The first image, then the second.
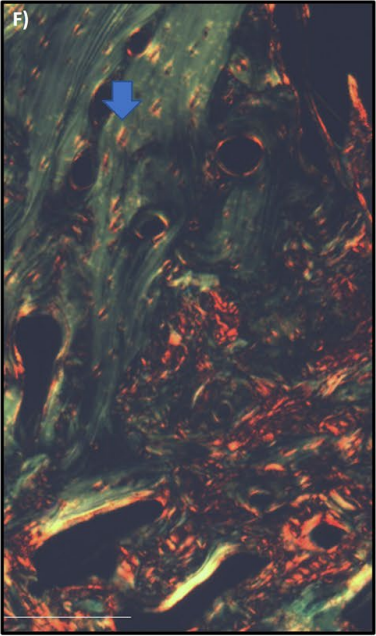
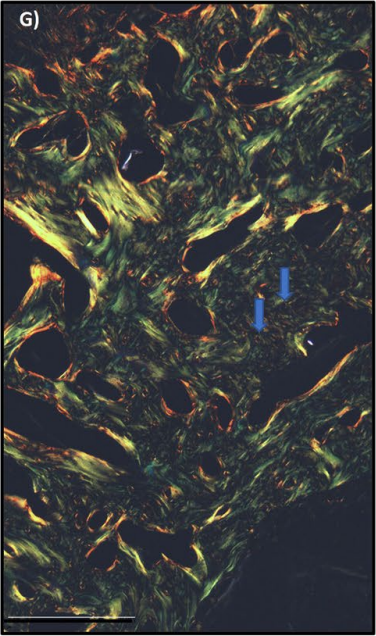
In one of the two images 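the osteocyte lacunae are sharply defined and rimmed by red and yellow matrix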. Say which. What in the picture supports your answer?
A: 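Second image: the matrix is a meshwork of short green and yellow fibers around large dark spaces, with few distinct lacunae. First image: many small dark lacunae stand out in the green matrix, each rimmed by red or orange.
Answer: the first image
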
